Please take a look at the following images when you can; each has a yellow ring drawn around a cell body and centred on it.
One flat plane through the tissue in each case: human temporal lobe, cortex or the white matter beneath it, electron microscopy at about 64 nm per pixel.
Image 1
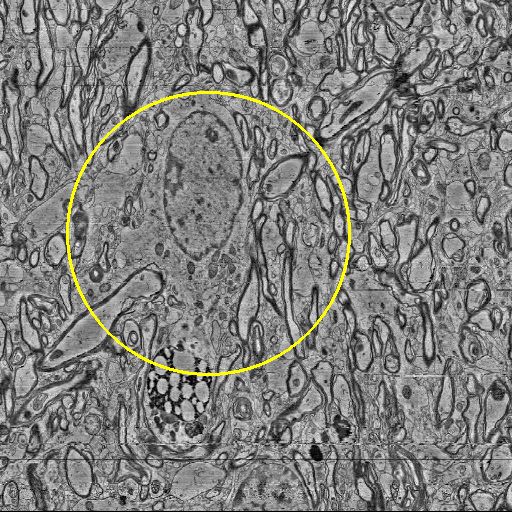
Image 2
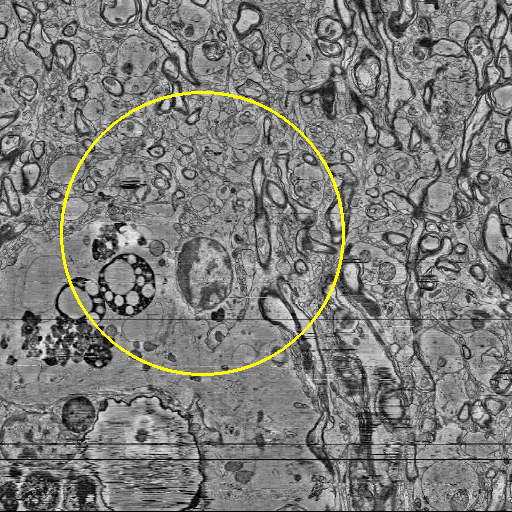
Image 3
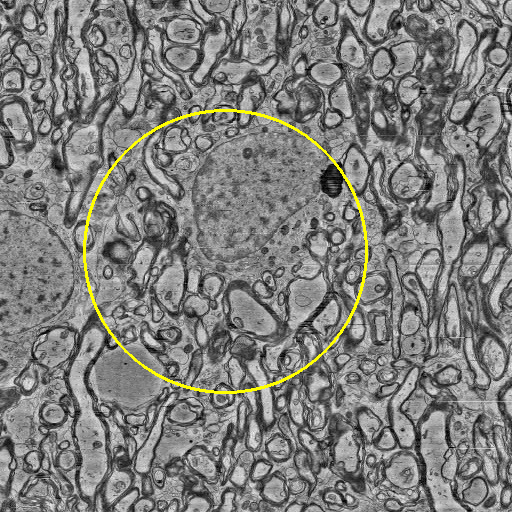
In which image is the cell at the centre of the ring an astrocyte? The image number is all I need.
1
